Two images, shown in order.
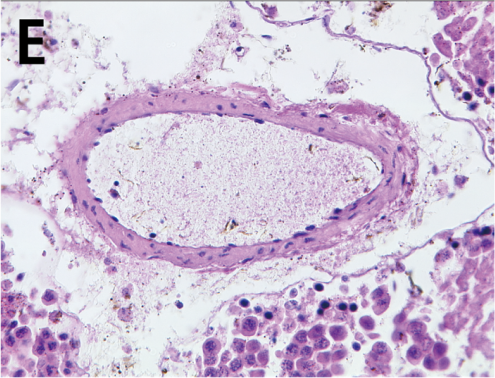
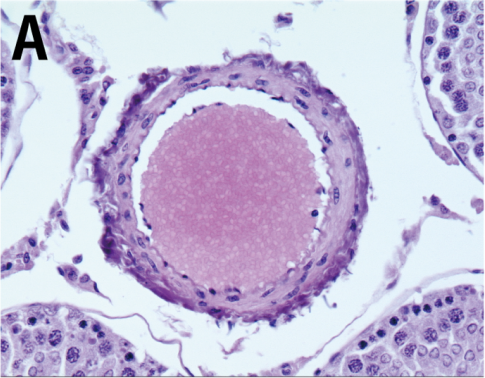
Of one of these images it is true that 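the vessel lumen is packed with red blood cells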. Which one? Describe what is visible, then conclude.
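Second image: the lumen is filled with densely packed, deep pink small round bodies. That points to this answer: the second image.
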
